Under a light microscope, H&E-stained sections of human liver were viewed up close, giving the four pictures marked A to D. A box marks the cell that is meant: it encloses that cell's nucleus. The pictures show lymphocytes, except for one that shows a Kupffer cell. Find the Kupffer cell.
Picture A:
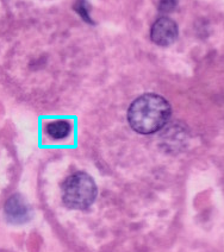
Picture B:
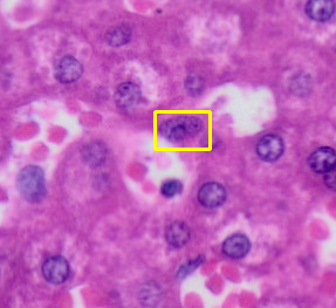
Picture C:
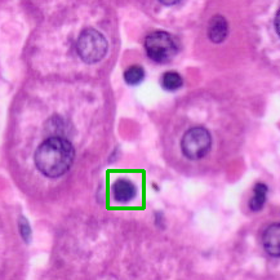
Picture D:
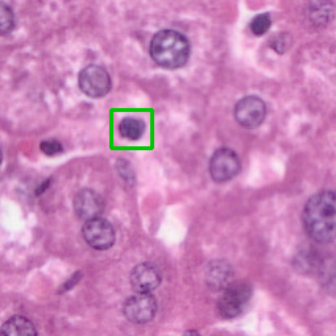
B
